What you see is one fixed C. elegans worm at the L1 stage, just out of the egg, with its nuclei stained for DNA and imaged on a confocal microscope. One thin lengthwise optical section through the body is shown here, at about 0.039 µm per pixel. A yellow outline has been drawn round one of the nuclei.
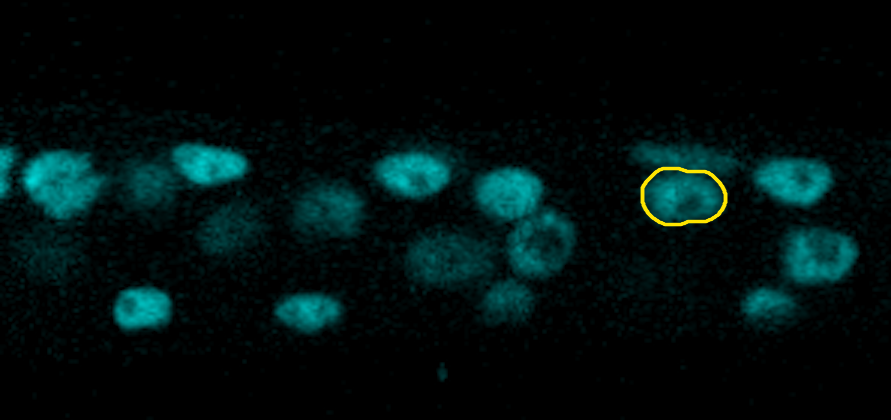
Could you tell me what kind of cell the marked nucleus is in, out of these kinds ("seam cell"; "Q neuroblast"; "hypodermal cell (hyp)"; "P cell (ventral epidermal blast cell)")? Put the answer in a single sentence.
The marked nucleus belongs to a seam cell.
